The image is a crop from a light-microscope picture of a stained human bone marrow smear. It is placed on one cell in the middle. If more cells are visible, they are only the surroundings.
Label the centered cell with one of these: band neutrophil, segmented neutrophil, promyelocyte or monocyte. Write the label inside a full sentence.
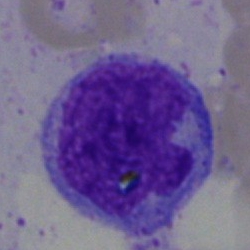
Located at the centre of the crop is a monocyte.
